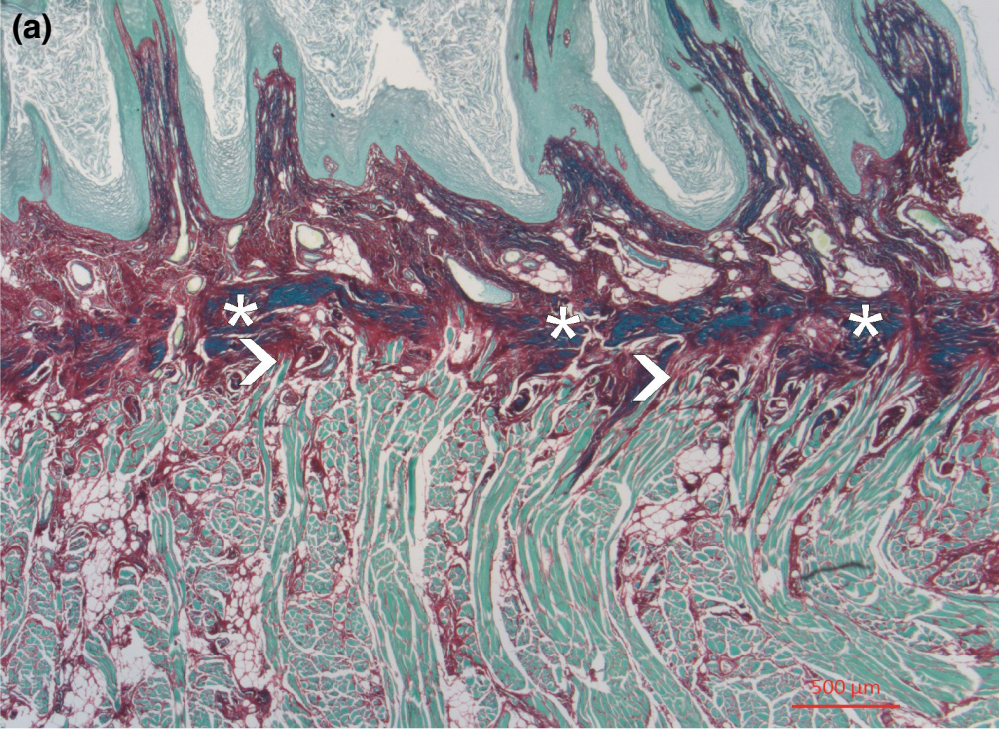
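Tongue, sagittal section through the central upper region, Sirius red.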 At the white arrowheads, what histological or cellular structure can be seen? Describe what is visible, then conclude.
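Insertion of the striated muscle fibres. Vertical bundles of green muscle fibres run upward and end at the dark green band. The arrowheads sit where the muscle bundles meet the band.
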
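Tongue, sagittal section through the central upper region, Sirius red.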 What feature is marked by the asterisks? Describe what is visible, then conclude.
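A continuous dark green band runs horizontally beneath the papillae and above the muscle layer. The band lies between the red-stained connective tissue and the green muscle bundles. On this evidence: aponeurosis linguae.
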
